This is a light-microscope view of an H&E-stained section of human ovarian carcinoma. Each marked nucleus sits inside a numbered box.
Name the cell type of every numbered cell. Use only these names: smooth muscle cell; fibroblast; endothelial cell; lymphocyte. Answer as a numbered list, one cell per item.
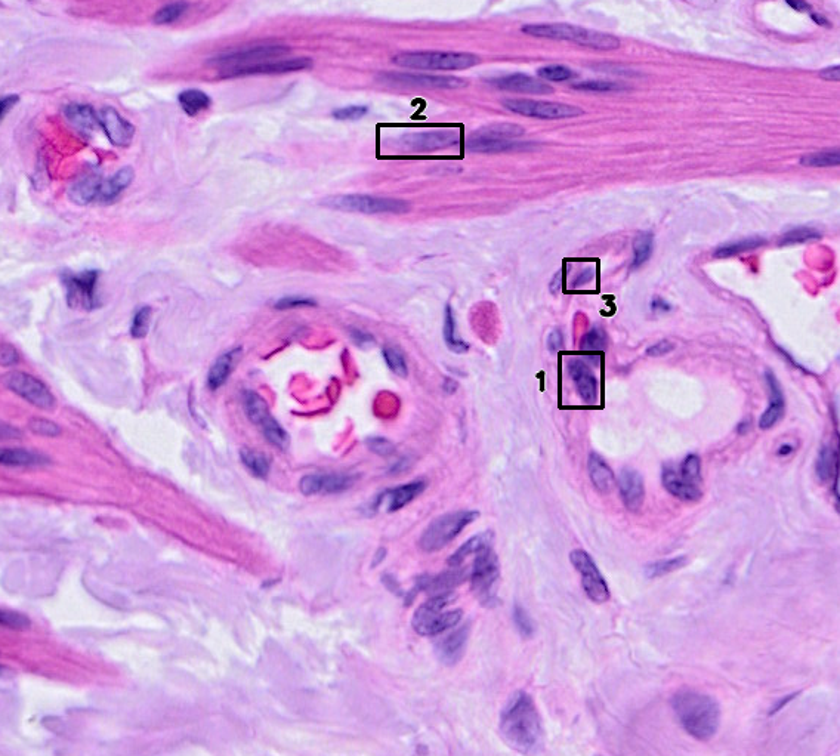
1. endothelial cell
2. smooth muscle cell
3. endothelial cell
